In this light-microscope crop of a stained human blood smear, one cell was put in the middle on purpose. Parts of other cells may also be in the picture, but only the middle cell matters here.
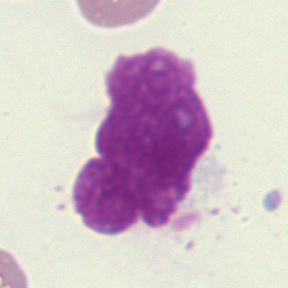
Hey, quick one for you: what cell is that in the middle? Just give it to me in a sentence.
The centrally positioned cell in the crop represents a smudge cell.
